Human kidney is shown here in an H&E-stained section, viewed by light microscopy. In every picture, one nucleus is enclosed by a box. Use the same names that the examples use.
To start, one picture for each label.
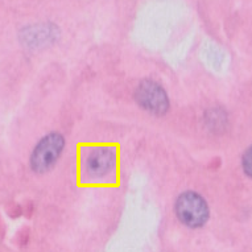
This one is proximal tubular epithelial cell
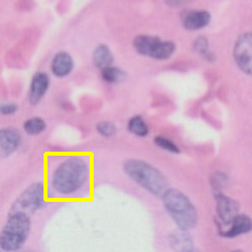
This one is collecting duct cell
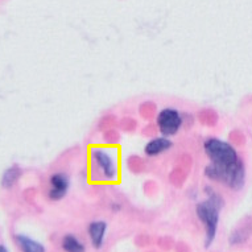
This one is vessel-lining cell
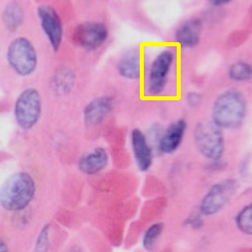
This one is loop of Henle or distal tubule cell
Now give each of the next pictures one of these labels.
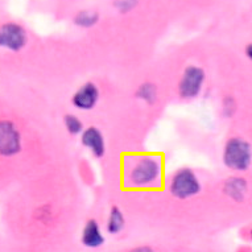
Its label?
loop of Henle or distal tubule cell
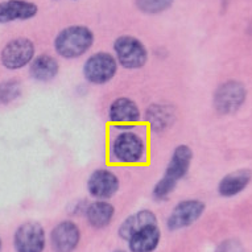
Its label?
collecting duct cell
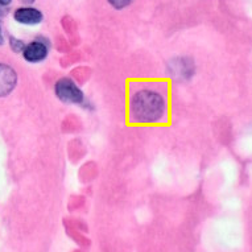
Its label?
proximal tubular epithelial cell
